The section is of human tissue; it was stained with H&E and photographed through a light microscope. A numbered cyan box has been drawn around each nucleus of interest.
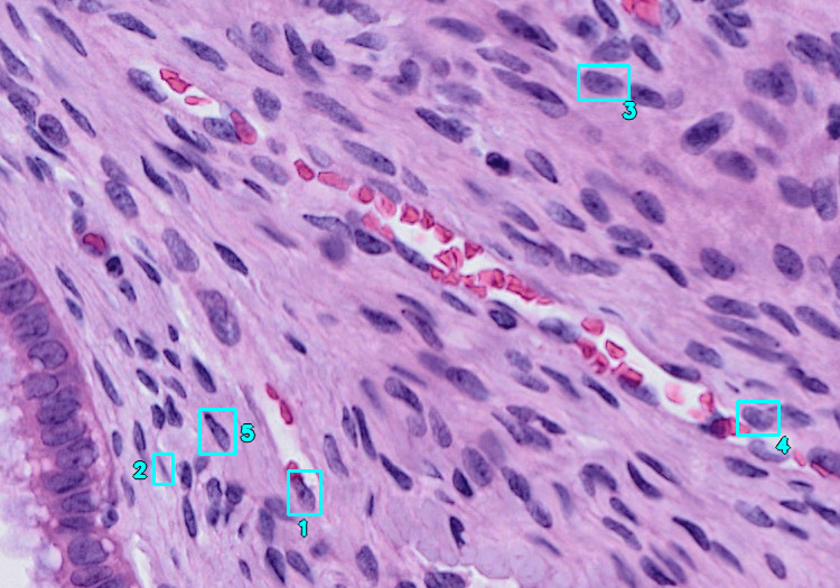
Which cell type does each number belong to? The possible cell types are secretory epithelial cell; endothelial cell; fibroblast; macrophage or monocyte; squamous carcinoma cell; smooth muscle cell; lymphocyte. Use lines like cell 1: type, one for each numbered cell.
cell 1: endothelial cell
cell 2: fibroblast
cell 3: fibroblast
cell 4: endothelial cell
cell 5: fibroblast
